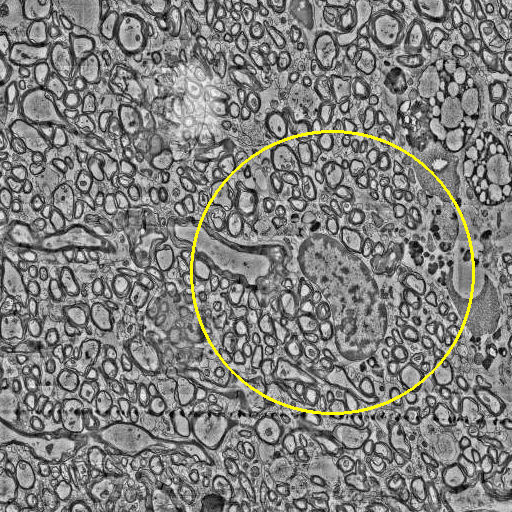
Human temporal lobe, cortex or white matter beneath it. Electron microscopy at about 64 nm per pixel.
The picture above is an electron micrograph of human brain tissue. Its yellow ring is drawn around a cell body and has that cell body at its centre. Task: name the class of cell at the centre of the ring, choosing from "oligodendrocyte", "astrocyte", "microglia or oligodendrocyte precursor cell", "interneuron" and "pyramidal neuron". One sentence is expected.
The ring surrounds the body of a microglial cell or oligodendrocyte precursor cell.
